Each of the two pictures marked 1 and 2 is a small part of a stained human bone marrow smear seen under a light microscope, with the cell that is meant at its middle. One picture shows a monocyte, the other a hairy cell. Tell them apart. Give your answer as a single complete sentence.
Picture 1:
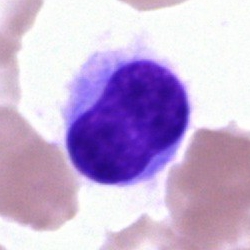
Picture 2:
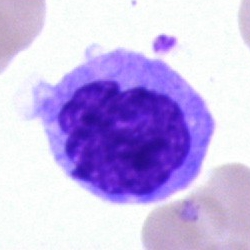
The cell in picture 1 is a hairy cell, and the one in picture 2 is a monocyte.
